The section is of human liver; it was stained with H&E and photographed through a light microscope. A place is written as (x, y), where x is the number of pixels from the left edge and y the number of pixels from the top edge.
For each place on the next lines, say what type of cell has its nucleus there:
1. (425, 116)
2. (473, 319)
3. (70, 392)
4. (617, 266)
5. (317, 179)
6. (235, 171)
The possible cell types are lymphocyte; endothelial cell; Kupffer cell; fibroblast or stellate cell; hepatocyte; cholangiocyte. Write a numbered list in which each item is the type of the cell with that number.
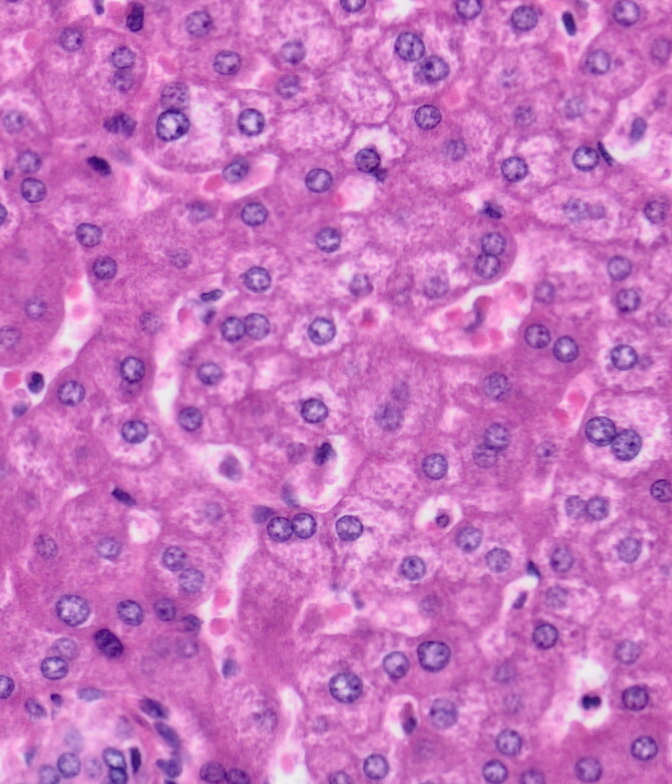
1. hepatocyte
2. Kupffer cell
3. hepatocyte
4. hepatocyte
5. hepatocyte
6. Kupffer cell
